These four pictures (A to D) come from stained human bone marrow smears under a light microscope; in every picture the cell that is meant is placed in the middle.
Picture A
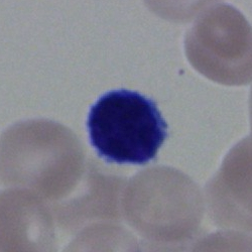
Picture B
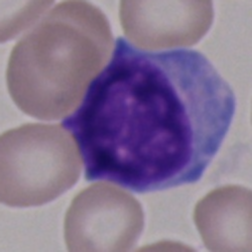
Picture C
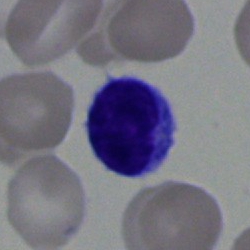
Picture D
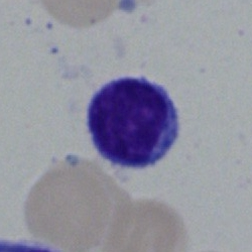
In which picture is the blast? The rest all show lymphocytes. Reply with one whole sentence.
Picture B shows the blast.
